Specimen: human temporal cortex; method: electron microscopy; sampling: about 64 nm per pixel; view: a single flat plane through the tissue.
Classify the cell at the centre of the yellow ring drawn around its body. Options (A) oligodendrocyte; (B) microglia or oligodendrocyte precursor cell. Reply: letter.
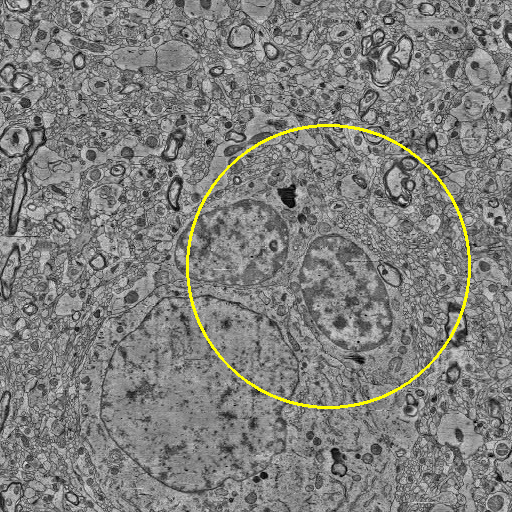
A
